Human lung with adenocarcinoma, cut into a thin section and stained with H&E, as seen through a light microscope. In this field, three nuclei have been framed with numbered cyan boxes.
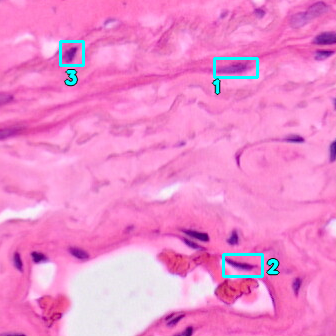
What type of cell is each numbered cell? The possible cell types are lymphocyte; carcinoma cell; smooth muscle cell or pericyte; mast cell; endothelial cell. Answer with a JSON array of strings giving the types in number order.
["smooth muscle cell or pericyte", "endothelial cell", "smooth muscle cell or pericyte"]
